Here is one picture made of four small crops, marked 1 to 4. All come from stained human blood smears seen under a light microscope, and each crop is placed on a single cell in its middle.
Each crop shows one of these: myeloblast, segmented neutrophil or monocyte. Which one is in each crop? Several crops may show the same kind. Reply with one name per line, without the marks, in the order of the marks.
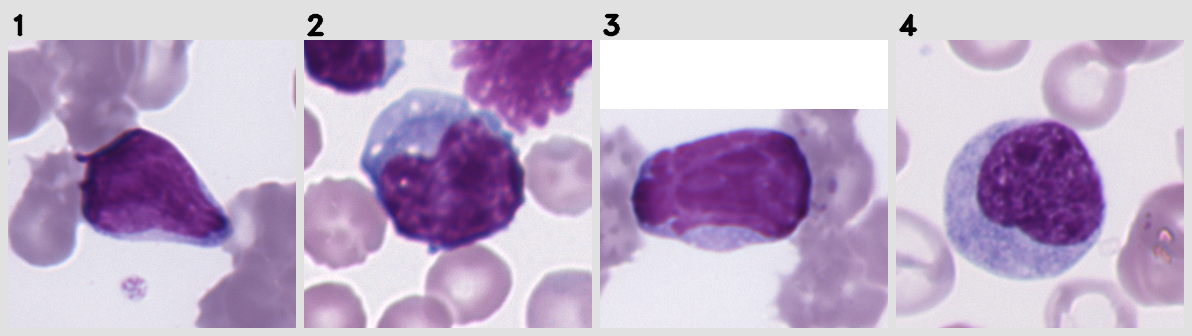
myeloblast
monocyte
myeloblast
monocyte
